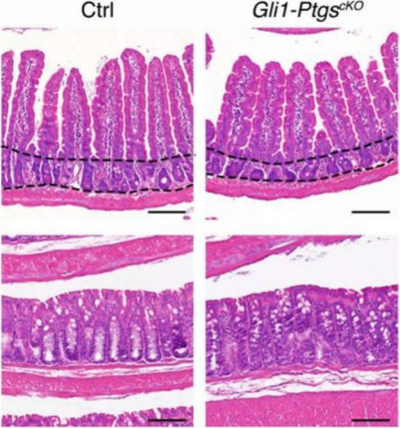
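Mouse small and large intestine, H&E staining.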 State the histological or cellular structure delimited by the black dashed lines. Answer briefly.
Crypt region.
